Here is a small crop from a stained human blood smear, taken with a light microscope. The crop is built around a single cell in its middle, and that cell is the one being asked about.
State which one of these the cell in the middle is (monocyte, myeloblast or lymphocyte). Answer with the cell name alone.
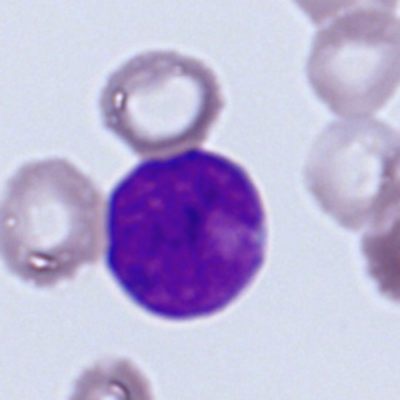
myeloblast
